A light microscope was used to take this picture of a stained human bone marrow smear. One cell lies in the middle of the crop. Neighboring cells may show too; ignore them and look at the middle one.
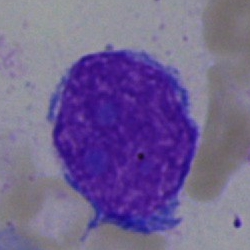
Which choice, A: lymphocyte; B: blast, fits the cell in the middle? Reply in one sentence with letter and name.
Option B is correct, naming the cell in the middle as a blast.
